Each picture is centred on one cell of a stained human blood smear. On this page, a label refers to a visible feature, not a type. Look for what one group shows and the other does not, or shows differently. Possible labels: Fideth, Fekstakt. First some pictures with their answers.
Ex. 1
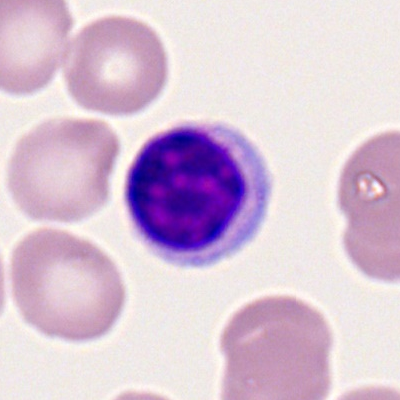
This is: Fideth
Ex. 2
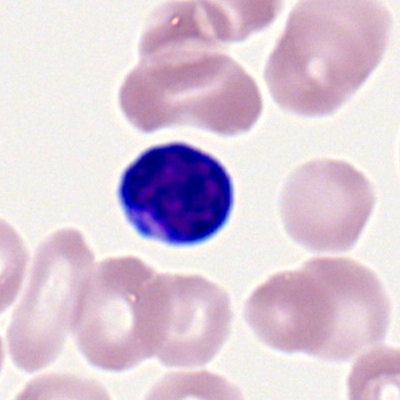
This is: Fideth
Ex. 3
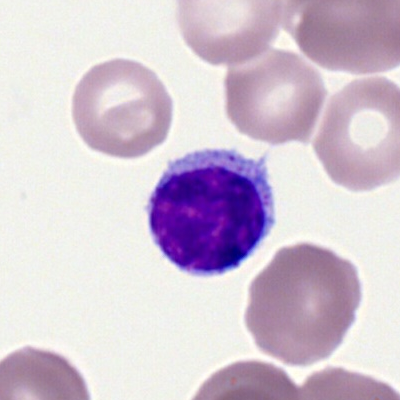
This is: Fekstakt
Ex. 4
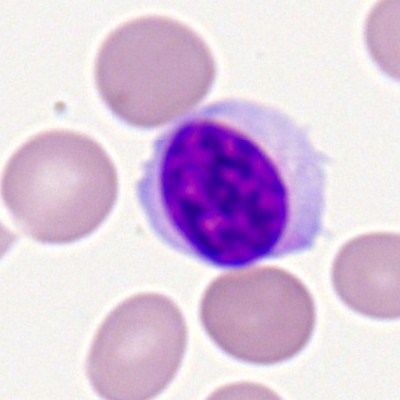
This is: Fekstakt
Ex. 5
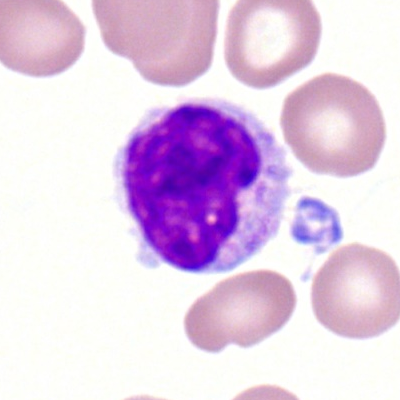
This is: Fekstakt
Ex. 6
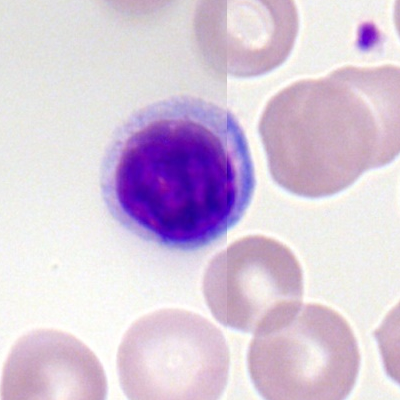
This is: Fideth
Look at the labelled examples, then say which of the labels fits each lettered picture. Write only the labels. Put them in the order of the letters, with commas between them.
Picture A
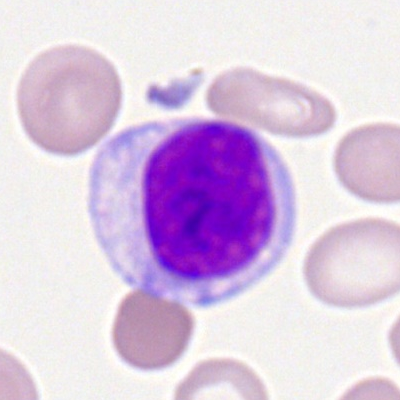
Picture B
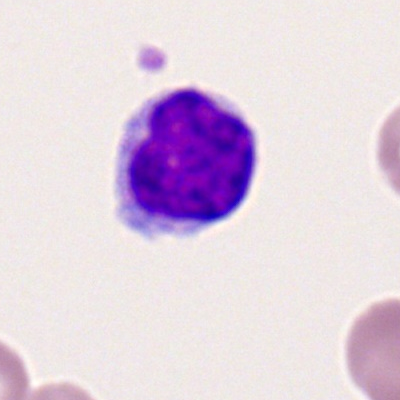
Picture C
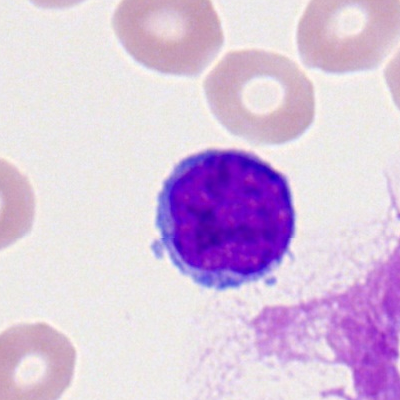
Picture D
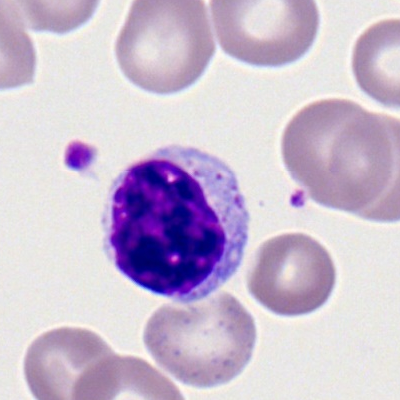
Fideth, Fekstakt, Fekstakt, Fideth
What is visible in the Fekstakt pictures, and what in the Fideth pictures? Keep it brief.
Seen in Fekstakt: ragged outline or projections; seen in Fideth: smooth outline.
